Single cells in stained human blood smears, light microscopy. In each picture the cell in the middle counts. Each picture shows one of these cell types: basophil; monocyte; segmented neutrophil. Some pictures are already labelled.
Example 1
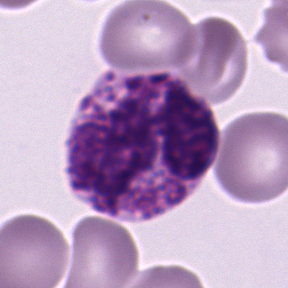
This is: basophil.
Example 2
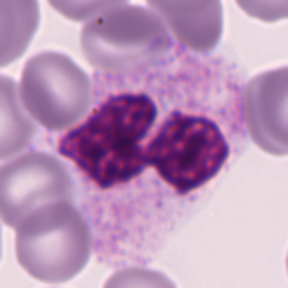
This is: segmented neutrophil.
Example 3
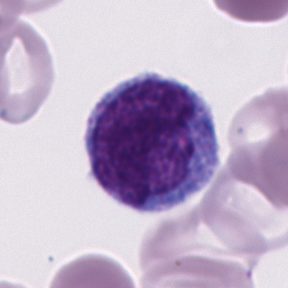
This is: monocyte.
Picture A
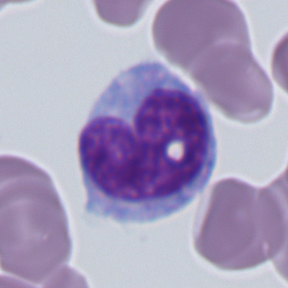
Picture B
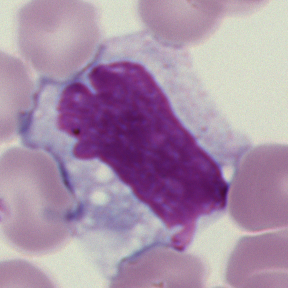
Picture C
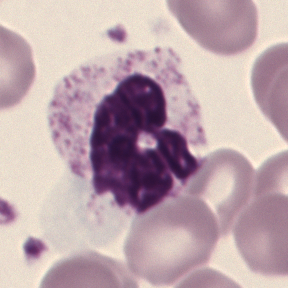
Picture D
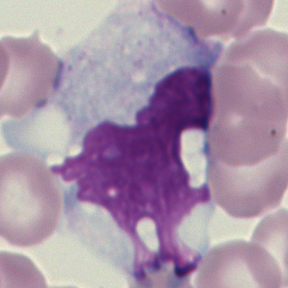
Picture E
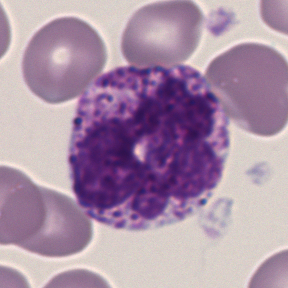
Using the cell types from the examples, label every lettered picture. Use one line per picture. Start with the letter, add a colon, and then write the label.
A: monocyte.
B: monocyte.
C: segmented neutrophil.
D: monocyte.
E: basophil.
